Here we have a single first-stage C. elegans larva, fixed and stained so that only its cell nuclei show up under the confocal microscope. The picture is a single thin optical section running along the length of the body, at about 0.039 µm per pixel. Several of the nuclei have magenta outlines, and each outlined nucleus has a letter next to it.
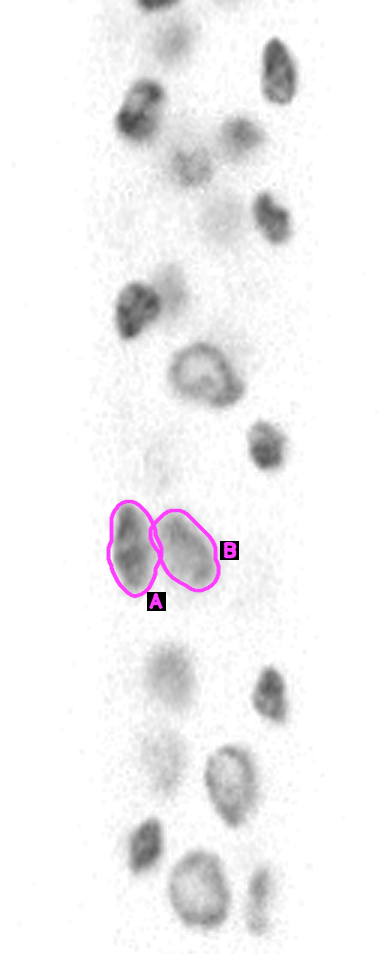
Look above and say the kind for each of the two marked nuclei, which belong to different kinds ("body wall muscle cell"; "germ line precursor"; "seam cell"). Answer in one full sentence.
Nucleus A comes from a body wall muscle cell and nucleus B from a seam cell.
